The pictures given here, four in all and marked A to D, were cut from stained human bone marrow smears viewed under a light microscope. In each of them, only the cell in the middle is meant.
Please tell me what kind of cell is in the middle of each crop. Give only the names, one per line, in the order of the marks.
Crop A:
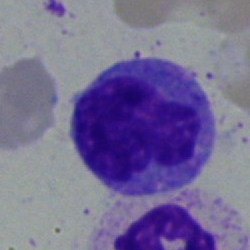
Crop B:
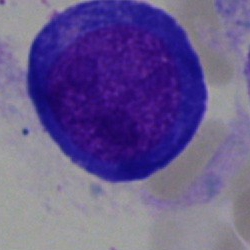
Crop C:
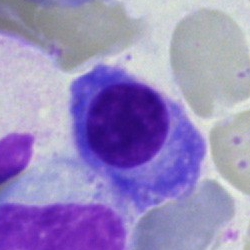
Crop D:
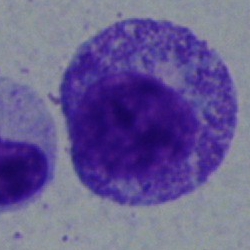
monocyte
proerythroblast
plasma cell
myelocyte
